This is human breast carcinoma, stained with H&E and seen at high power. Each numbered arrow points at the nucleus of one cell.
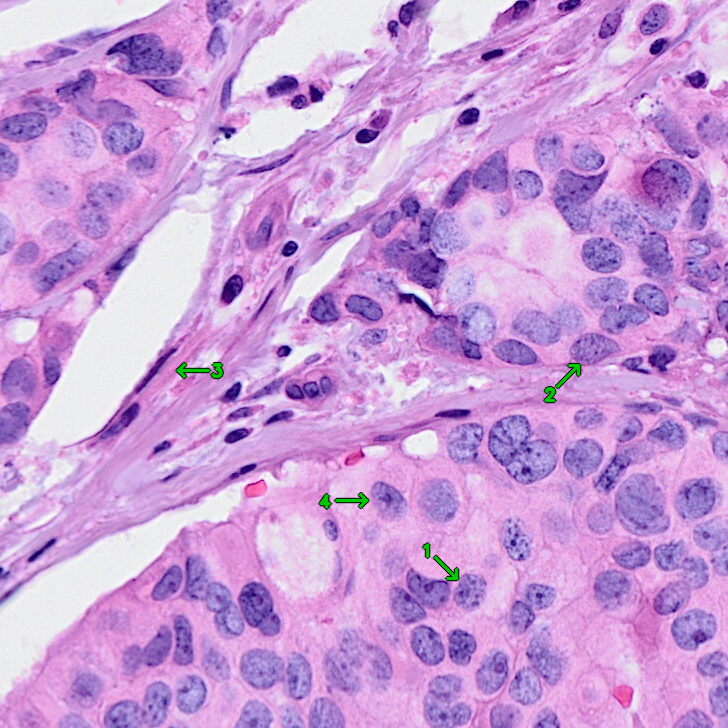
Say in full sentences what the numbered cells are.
Cells 1, 2 and 4 are carcinoma cells. Cell 3 is a fibroblast.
